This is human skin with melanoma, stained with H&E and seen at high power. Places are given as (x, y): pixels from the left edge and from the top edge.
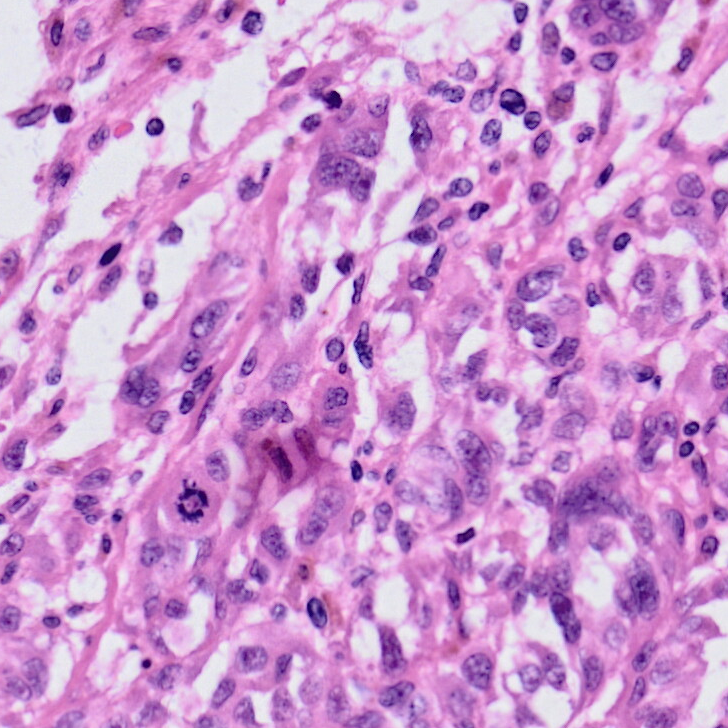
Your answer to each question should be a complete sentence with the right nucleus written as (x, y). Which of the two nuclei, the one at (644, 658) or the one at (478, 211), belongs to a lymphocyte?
The nucleus at (478, 211) is assigned to a lymphocyte.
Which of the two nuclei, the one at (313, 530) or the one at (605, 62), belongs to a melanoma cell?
The nucleus that belongs to a melanoma cell sits at (313, 530).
